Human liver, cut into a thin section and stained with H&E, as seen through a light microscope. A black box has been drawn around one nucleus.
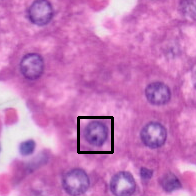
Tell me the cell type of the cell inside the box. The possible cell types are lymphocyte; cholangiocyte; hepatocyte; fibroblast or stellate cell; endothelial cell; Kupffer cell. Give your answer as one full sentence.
For cell typing purposes, the cell inside the box is a hepatocyte.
